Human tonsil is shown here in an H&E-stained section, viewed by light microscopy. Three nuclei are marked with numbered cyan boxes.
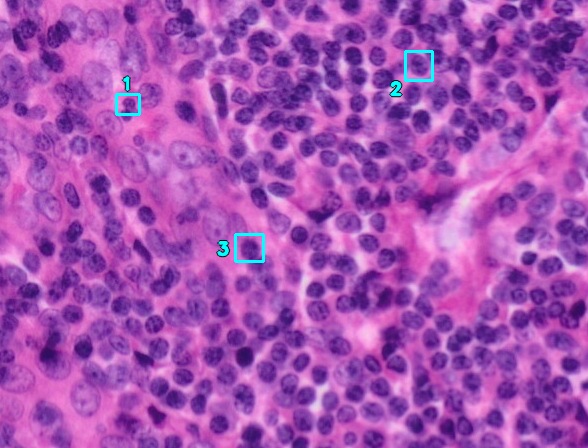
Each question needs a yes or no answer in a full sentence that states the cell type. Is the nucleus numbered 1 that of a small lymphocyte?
No, what is marked as number 1 is an endothelial cell rather than a small lymphocyte.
